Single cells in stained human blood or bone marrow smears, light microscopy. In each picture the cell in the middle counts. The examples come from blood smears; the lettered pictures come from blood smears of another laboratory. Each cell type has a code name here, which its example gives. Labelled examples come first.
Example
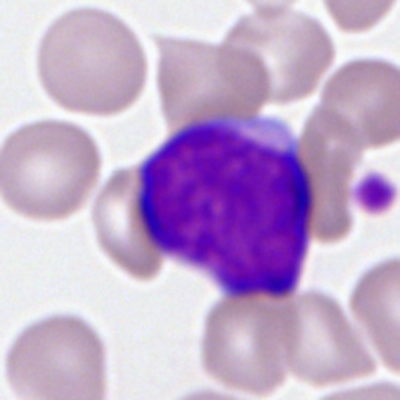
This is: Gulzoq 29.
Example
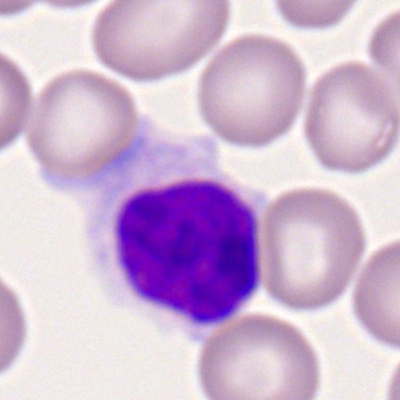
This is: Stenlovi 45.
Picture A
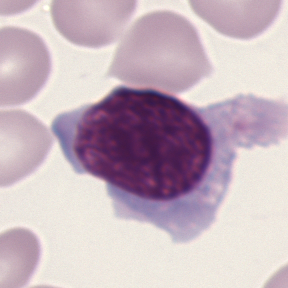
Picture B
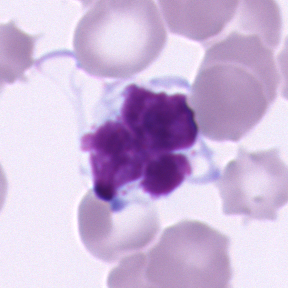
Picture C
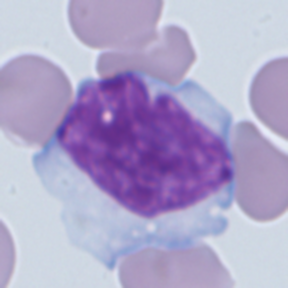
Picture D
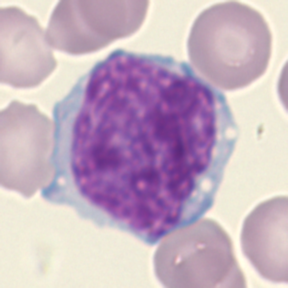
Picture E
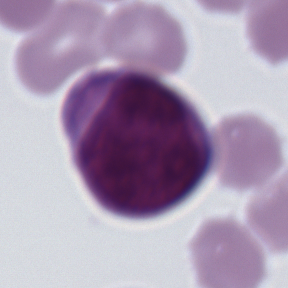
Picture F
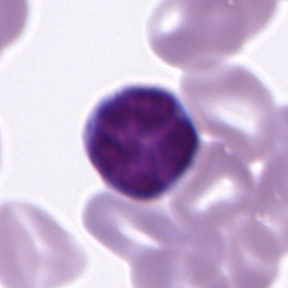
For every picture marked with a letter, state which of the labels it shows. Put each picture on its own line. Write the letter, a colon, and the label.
A: Stenlovi 45.
B: Stenlovi 45.
C: Gulzoq 29.
D: Gulzoq 29.
E: Gulzoq 29.
F: Stenlovi 45.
